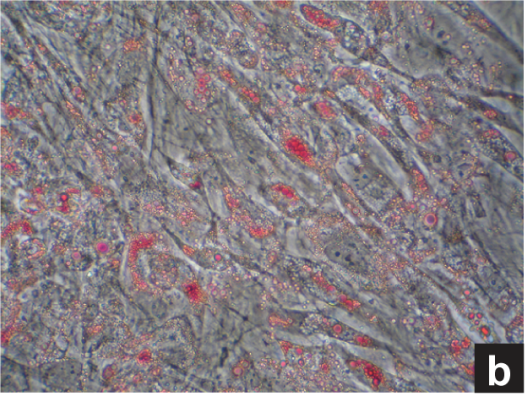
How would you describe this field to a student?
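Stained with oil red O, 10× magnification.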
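The cells lie close together in a dense layer; many are still elongated and spindle-like, with pale grey cytoplasm and faint outlines. Within and around them sit numerous small round droplets, some grouped in clusters near the cell centres, a few larger and more deeply red. Between the droplet-laden cells run stretches of unstained cytoplasm, so the red is patchy rather than even across the field.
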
